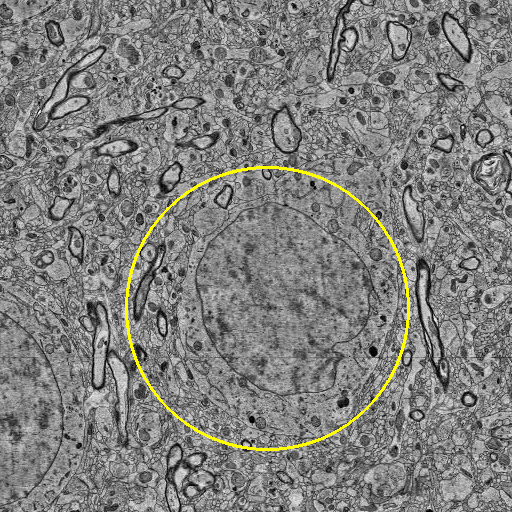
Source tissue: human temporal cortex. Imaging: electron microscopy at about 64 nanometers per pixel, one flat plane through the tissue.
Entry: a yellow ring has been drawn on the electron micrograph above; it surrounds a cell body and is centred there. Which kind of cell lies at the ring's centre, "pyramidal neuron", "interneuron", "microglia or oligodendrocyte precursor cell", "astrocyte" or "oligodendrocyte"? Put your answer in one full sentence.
The cell sitting at the ring's centre is a pyramidal neuron in the micrograph above.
